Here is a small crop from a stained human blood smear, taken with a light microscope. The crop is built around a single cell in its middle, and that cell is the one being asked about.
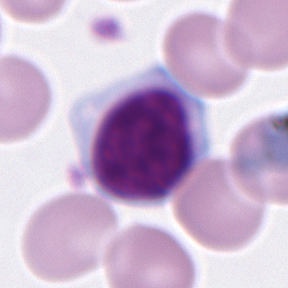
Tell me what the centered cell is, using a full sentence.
The cell in the middle of this crop is a lymphocyte.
